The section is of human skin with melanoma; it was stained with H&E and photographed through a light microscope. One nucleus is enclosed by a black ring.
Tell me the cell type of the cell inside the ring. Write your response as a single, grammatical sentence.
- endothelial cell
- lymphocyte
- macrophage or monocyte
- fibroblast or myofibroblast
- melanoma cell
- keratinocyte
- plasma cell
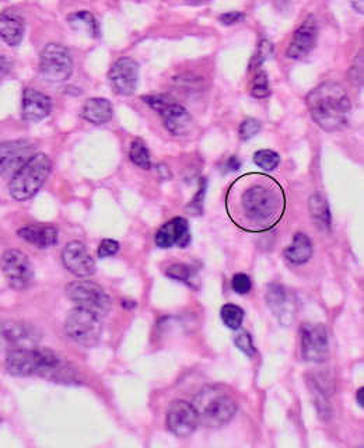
In this tissue section, the cell inside the ring is to be classed as a melanoma cell.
